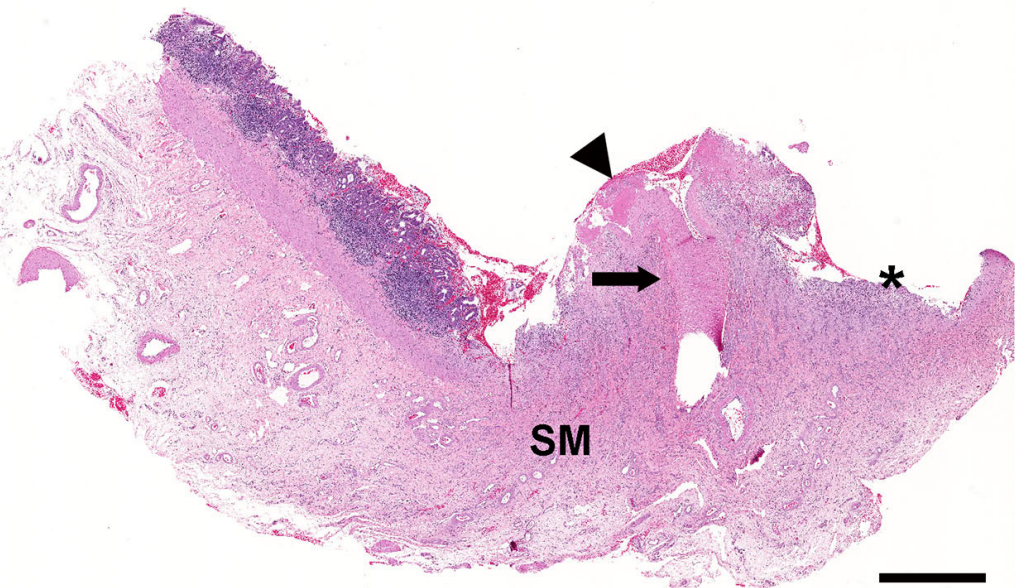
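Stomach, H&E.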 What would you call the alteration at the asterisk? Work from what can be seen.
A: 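At the asterisk the surface lacks the dark purple glandular layer seen on the left. The surface there is formed by pale pink-purple tissue without an epithelial lining. The answer: ulcerated.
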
